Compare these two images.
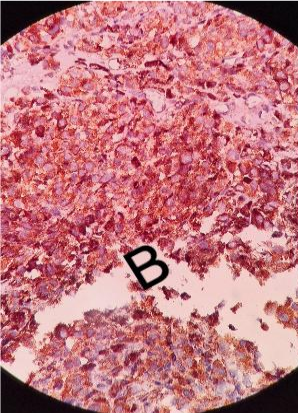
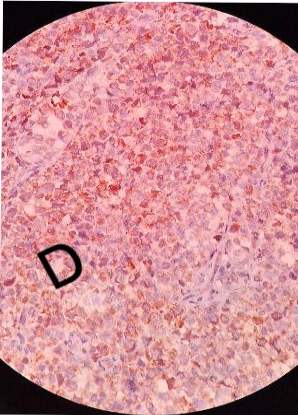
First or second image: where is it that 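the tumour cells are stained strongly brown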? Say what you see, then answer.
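Second image: the tumour cells show pale, light brown tint with blue nuclei showing through. First image: the tumour cells show dense, dark brown staining throughout the cytoplasm.
Conclusion: the first image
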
